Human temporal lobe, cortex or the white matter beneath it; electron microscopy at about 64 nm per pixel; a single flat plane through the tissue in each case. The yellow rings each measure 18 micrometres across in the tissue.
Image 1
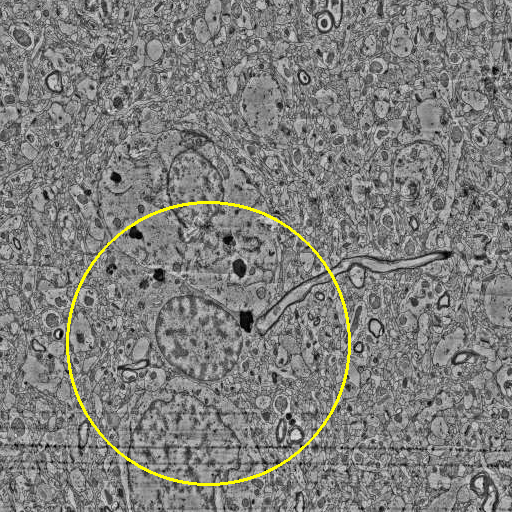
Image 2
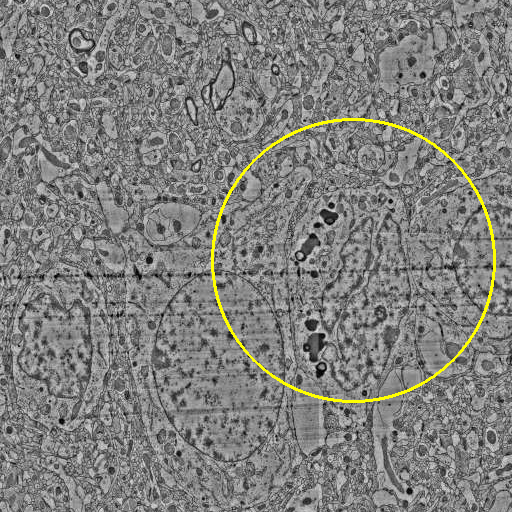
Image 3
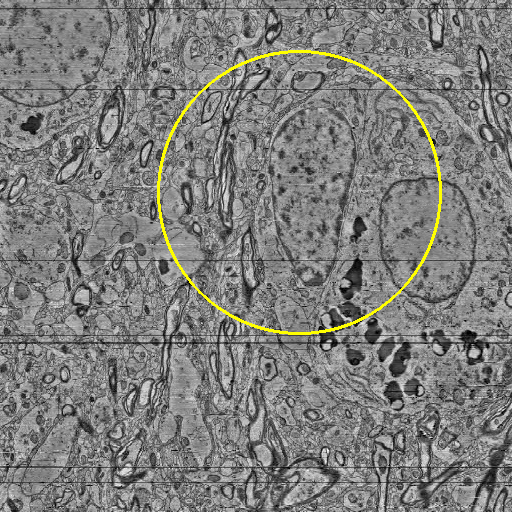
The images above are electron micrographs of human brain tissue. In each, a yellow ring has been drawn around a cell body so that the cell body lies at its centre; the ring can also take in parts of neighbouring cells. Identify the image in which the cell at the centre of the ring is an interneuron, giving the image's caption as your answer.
Image 2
